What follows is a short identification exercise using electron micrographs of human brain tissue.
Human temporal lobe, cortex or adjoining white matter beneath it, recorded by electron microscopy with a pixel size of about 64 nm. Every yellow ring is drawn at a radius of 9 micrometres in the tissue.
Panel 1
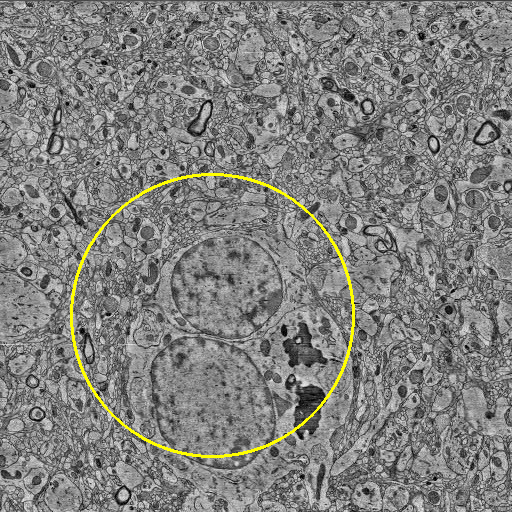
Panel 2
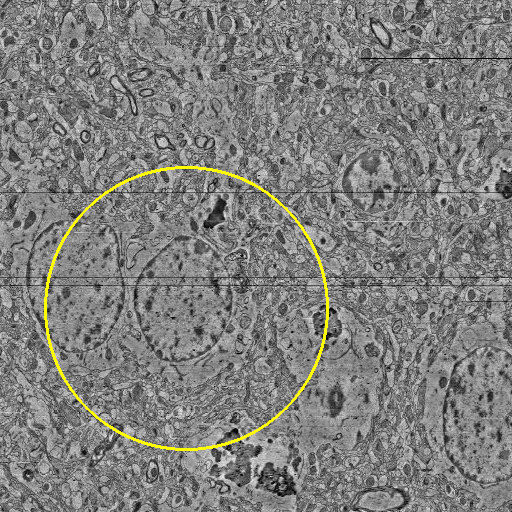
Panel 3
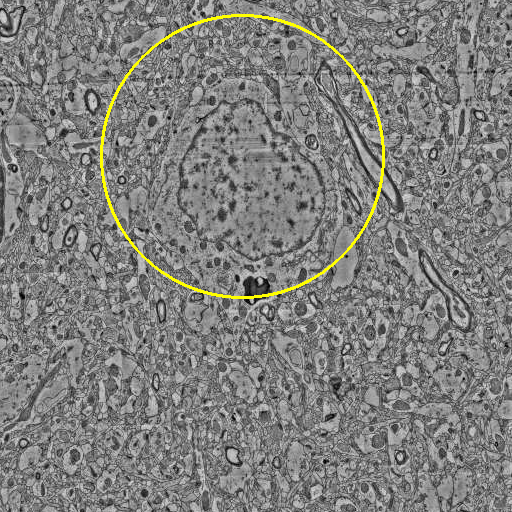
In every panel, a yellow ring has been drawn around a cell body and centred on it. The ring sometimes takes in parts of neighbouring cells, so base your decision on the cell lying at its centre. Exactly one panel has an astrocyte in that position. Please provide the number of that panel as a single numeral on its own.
2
